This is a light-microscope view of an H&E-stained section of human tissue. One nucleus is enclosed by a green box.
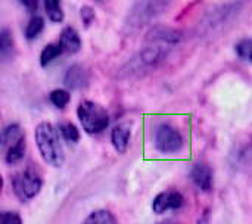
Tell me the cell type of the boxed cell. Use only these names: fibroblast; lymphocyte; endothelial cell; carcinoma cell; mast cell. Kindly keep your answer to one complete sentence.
In this preparation, the boxed cell is a mast cell.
